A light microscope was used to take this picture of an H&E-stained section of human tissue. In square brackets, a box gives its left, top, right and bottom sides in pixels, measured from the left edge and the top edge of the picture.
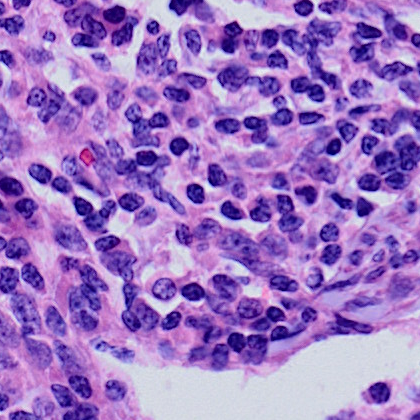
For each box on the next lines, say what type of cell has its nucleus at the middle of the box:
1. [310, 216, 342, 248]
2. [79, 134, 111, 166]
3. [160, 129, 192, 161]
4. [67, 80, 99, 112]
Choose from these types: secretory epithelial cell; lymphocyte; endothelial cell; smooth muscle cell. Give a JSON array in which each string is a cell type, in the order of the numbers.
["lymphocyte", "endothelial cell", "lymphocyte", "lymphocyte"]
